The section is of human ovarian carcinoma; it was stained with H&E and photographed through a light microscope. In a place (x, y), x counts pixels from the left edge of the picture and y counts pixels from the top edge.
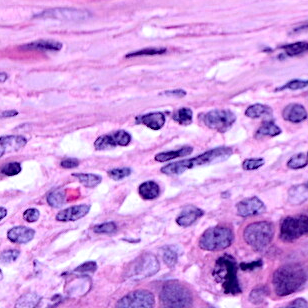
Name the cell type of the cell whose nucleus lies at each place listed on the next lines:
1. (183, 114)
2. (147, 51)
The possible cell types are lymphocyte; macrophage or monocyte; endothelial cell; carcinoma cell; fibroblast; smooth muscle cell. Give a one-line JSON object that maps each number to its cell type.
{"1": "lymphocyte", "2": "fibroblast"}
